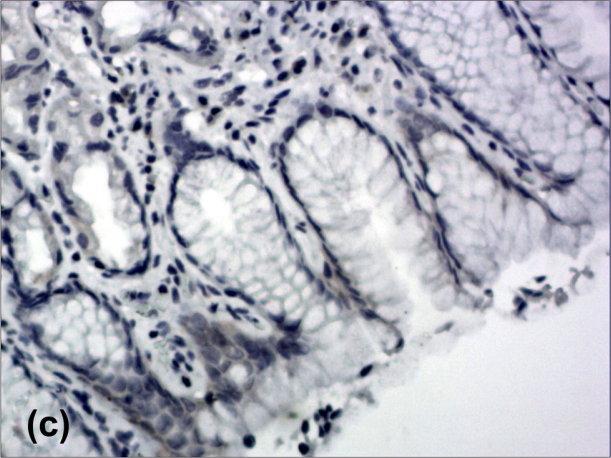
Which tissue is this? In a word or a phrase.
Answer: Normal gastric tissue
